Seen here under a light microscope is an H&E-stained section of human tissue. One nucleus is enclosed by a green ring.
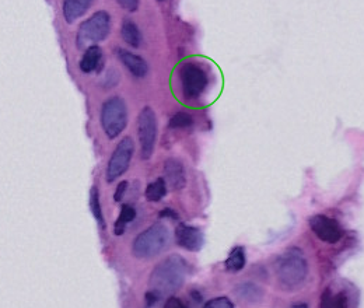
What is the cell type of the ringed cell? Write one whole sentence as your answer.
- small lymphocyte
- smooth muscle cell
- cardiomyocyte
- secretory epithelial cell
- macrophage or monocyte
As classified here, the ringed cell is a secretory epithelial cell.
